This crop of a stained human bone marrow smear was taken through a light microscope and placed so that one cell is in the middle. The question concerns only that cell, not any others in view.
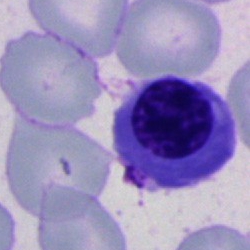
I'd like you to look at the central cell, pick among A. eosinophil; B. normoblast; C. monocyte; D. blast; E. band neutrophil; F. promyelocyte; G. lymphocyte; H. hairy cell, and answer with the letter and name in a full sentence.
Here the central cell is a normoblast, and option B is correct.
